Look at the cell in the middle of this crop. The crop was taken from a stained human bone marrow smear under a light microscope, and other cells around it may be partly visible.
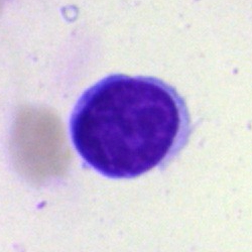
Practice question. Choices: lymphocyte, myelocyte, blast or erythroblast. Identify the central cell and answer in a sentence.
In this smear crop, the middle cell is a lymphocyte.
